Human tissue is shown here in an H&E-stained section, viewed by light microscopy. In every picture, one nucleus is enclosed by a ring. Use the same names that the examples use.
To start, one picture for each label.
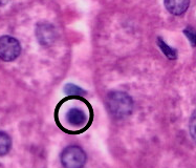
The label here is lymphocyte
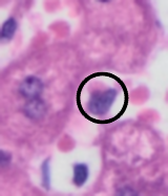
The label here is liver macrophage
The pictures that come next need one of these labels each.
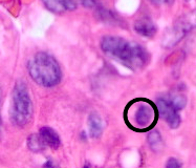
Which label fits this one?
lymphocyte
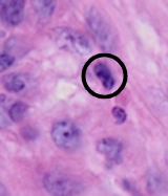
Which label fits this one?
lymphocyte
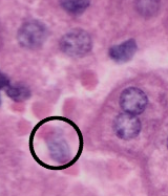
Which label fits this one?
liver macrophage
